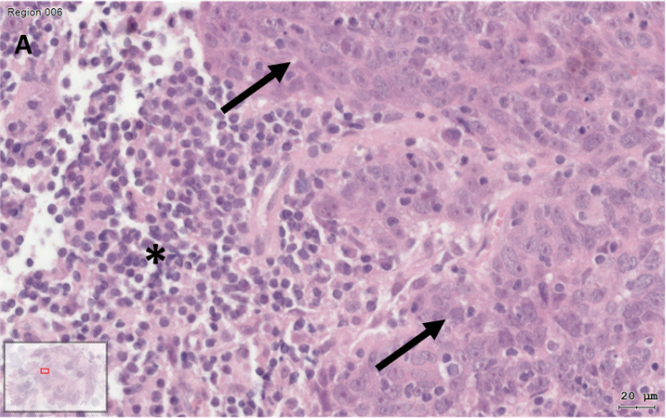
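Carcinoma tissue in which large tumor cells sit beside a dense crowd of inflammatory cells. The tumor cells form cohesive sheets on the right; they have abundant pink cytoplasm and large, oval, pale nuclei with open chromatin and conspicuous nucleoli, and their size and shape vary from cell to cell. On the left, small round cells with compact, dark purple nuclei and scant cytoplasm are packed closely, loosely held together, and seep in between the tumor sheets. Thin strands of pink fibrous tissue run between the groups. The contrast in nuclear size between the two populations is striking.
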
